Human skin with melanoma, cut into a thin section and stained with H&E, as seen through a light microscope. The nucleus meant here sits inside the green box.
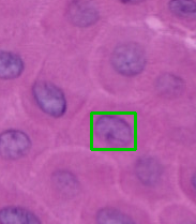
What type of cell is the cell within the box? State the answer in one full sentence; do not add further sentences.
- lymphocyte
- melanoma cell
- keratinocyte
In the context of this tissue, the cell within the box is a keratinocyte.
